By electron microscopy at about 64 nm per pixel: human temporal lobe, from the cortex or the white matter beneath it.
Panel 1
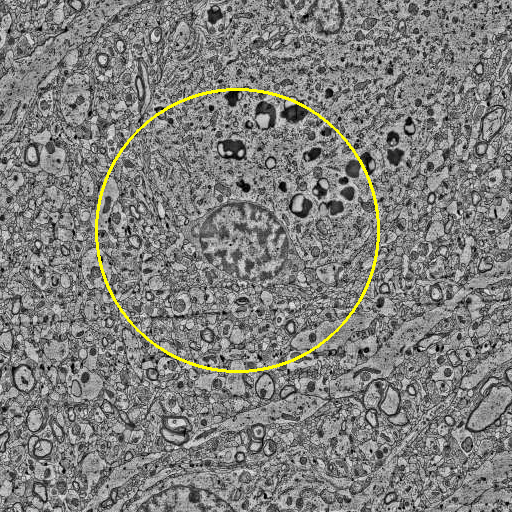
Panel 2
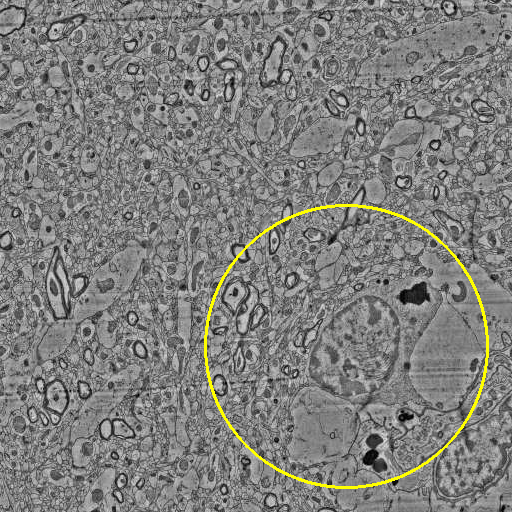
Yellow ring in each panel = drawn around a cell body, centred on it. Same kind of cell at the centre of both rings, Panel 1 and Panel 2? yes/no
yes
